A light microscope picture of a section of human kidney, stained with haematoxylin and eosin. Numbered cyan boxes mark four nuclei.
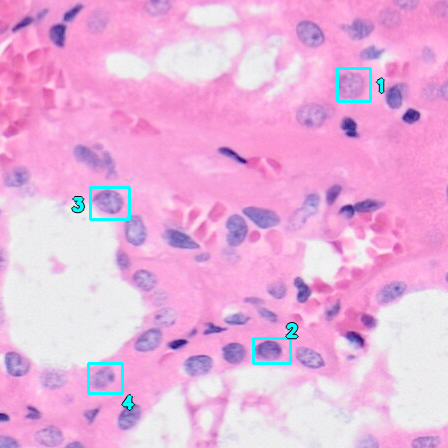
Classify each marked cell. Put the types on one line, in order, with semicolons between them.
proximal tubule cell; loop of Henle or distal tubule cell; loop of Henle or distal tubule cell; loop of Henle or distal tubule cell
